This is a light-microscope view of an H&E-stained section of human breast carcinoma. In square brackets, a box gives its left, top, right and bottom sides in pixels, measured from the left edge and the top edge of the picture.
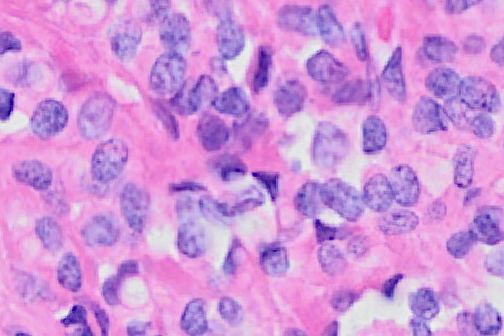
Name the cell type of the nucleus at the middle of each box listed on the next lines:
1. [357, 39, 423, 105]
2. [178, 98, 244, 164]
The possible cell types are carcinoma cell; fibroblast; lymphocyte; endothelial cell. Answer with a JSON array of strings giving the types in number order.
["endothelial cell", "carcinoma cell"]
